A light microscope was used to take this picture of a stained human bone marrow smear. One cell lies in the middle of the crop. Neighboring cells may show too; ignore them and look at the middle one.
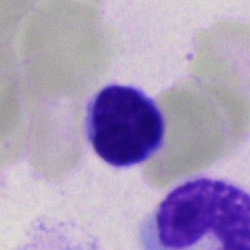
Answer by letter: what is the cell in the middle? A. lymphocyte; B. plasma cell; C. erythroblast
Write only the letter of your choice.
A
